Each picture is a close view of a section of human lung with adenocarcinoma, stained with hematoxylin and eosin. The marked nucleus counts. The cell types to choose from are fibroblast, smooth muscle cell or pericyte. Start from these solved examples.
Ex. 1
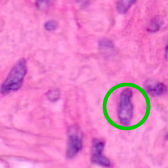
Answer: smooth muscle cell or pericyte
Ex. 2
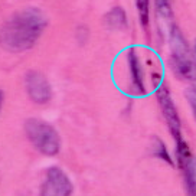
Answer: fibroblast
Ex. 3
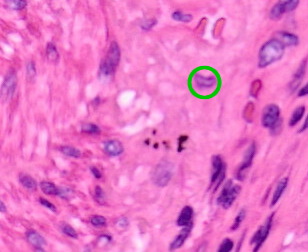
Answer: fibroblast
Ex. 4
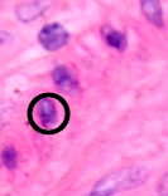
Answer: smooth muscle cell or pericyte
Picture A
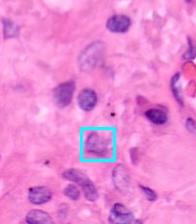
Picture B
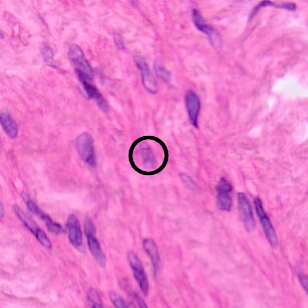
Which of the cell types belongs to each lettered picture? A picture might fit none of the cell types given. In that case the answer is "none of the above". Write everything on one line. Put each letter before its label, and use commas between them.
A fibroblast, B smooth muscle cell or pericyte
